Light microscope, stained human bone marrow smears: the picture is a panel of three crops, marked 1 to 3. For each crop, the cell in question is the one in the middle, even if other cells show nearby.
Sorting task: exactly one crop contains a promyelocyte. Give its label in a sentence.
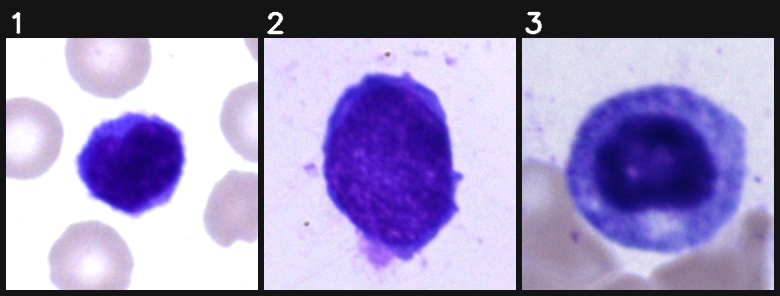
Among the crops provided, a promyelocyte occupies the center of crop 3.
